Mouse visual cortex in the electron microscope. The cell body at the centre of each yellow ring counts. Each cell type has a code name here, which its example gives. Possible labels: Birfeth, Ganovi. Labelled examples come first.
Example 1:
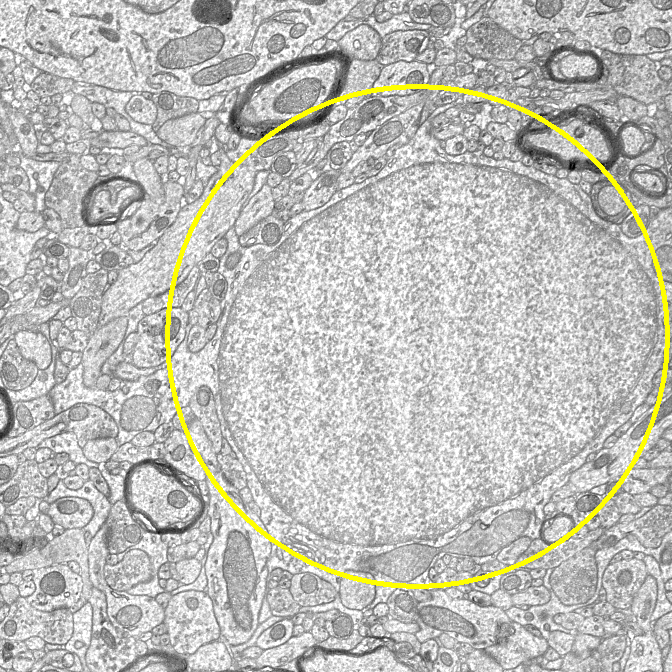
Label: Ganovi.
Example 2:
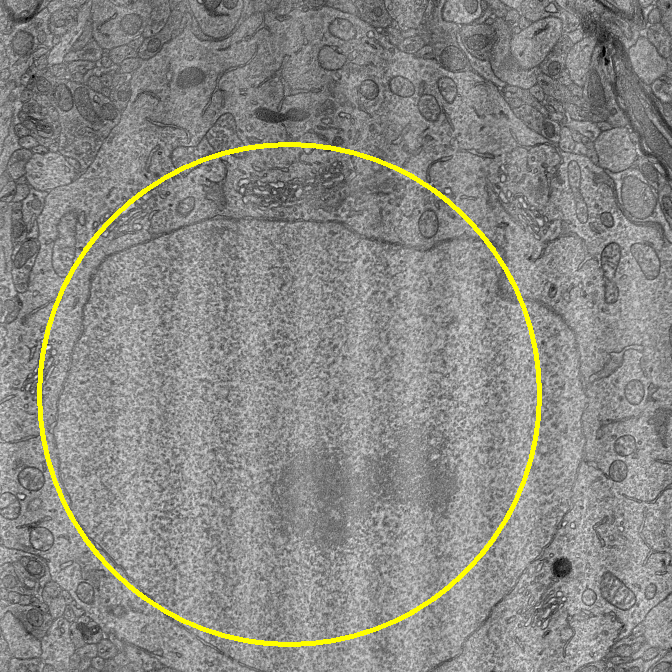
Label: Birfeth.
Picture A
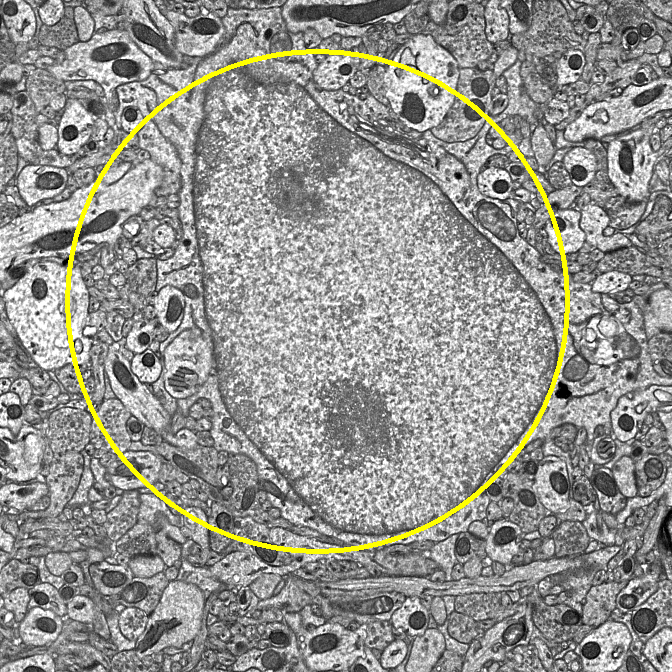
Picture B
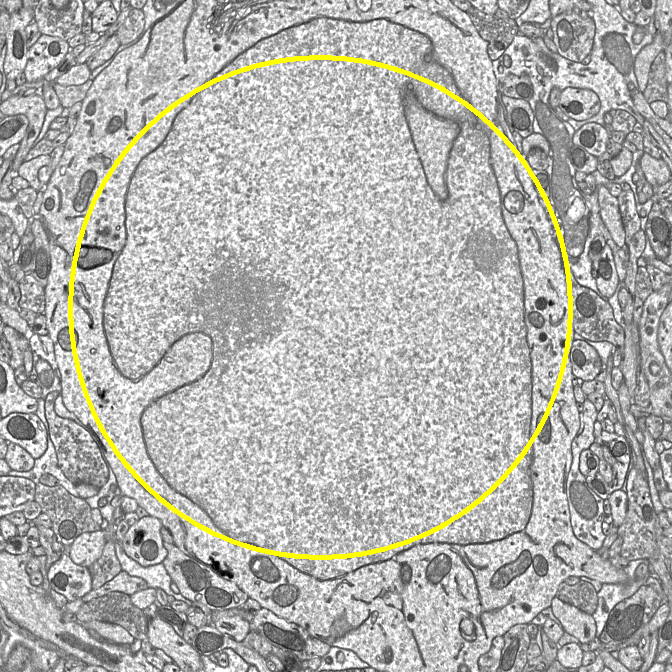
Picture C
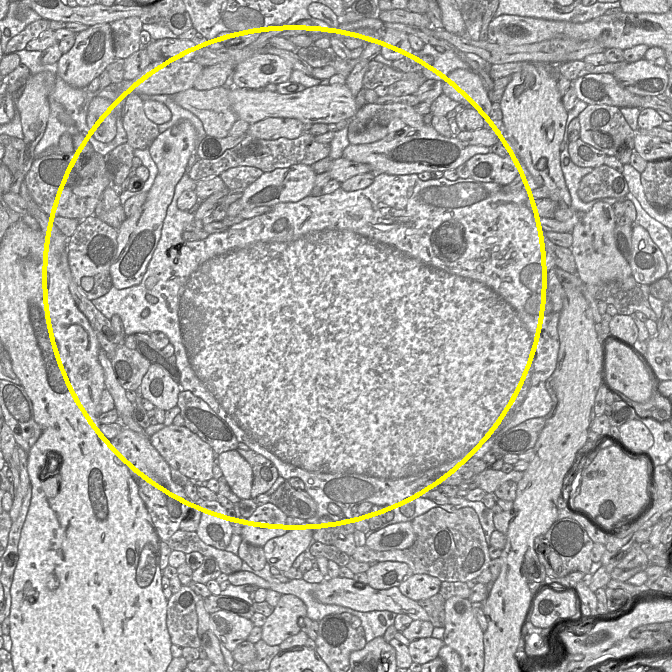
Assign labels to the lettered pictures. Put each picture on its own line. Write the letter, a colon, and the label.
A: Ganovi.
B: Birfeth.
C: Ganovi.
